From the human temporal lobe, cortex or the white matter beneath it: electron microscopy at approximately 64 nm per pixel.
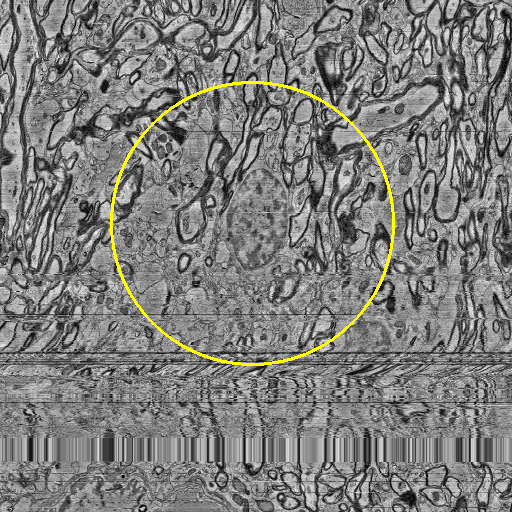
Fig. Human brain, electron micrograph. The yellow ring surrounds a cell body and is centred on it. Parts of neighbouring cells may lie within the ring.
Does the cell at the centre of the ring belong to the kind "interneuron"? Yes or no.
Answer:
no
